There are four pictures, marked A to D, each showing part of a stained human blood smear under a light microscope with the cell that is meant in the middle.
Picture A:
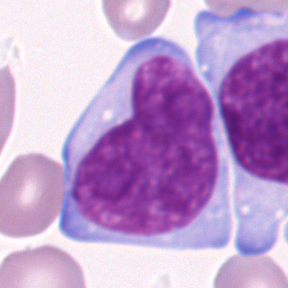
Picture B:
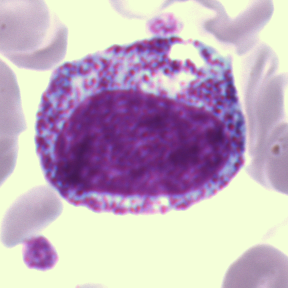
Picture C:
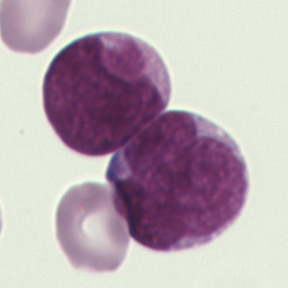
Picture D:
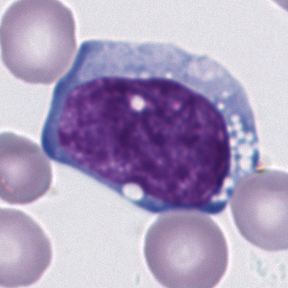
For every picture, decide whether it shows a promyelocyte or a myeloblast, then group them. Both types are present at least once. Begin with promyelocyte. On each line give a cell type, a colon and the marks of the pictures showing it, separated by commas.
promyelocyte: B
myeloblast: A, C, D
